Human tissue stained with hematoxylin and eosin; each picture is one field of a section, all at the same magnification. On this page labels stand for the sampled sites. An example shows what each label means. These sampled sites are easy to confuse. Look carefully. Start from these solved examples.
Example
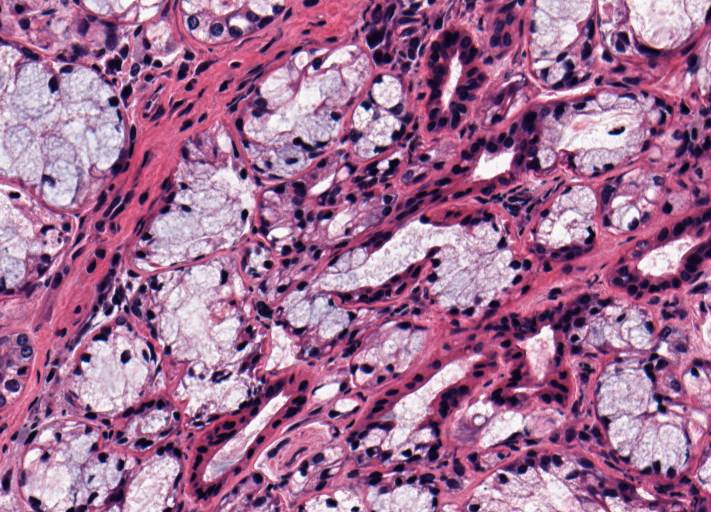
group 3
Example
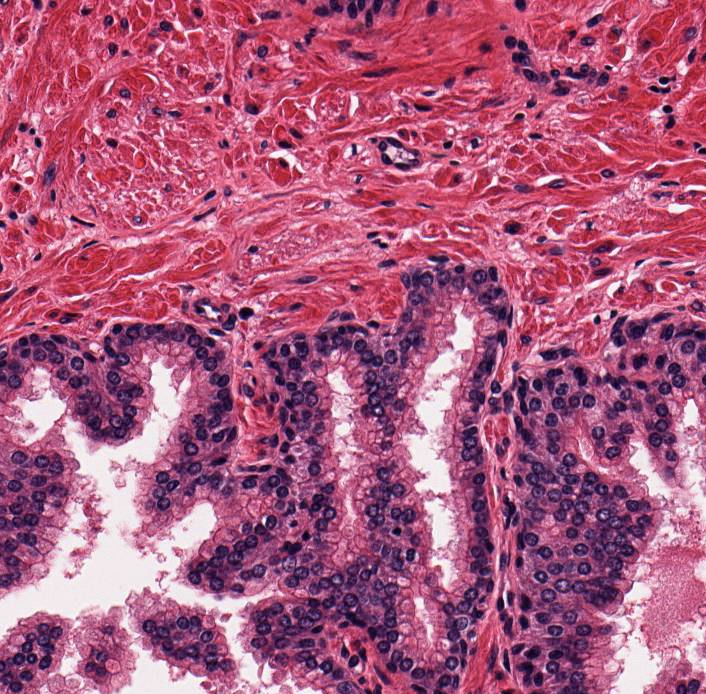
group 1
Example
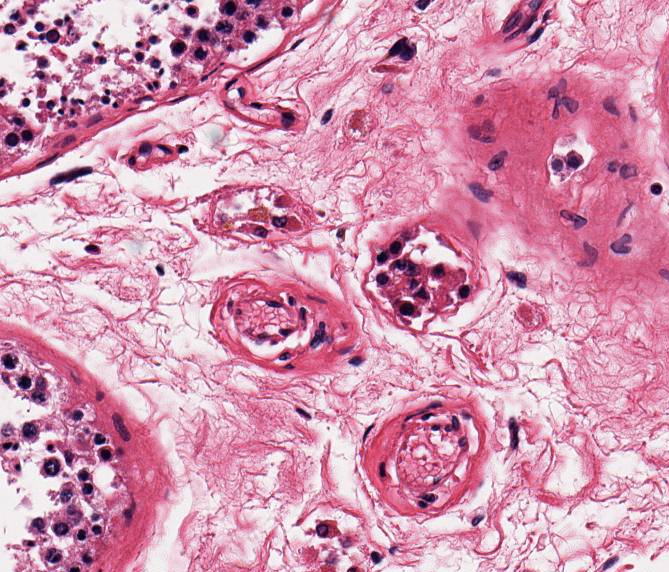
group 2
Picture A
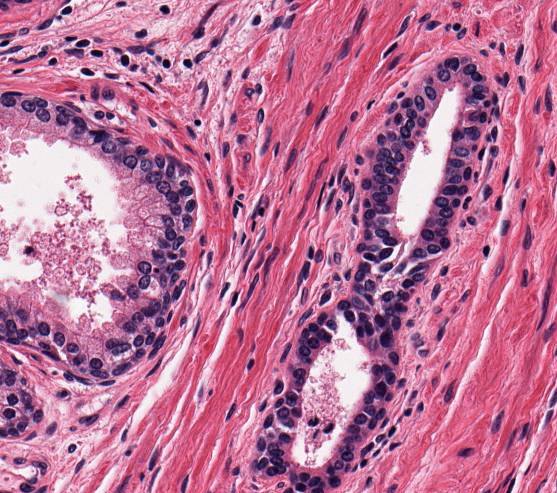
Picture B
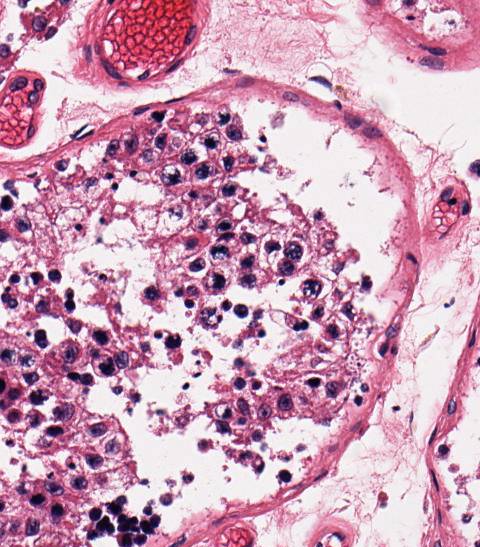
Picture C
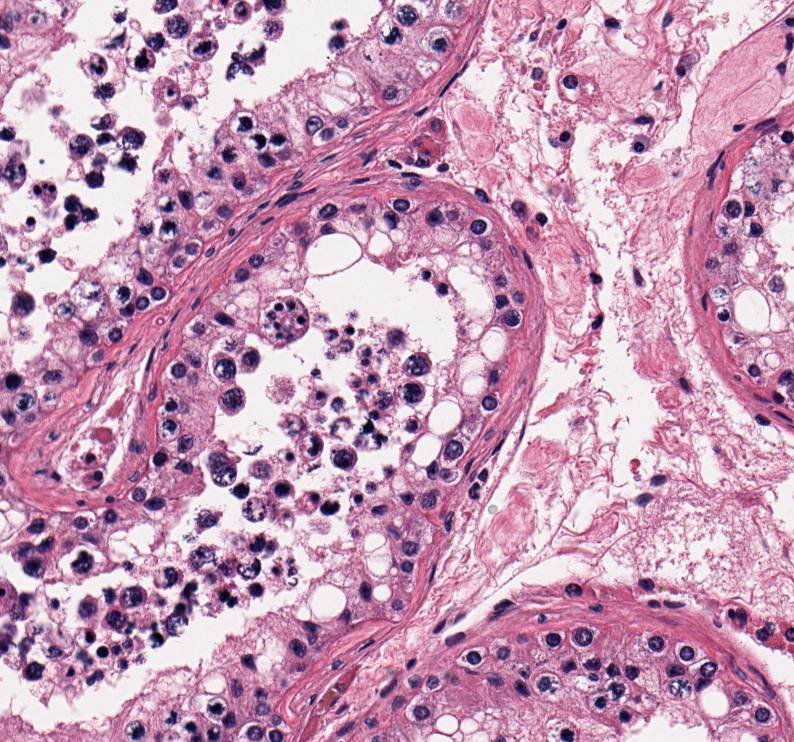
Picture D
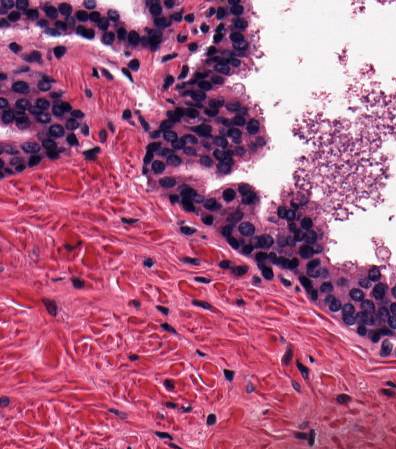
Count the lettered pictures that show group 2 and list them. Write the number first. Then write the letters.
Count: 2 (B, C)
